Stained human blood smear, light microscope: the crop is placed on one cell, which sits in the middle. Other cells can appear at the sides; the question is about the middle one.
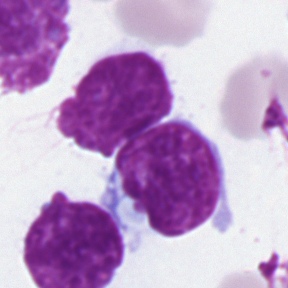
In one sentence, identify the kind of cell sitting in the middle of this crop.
The crop's centre is taken up by a myeloblast.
